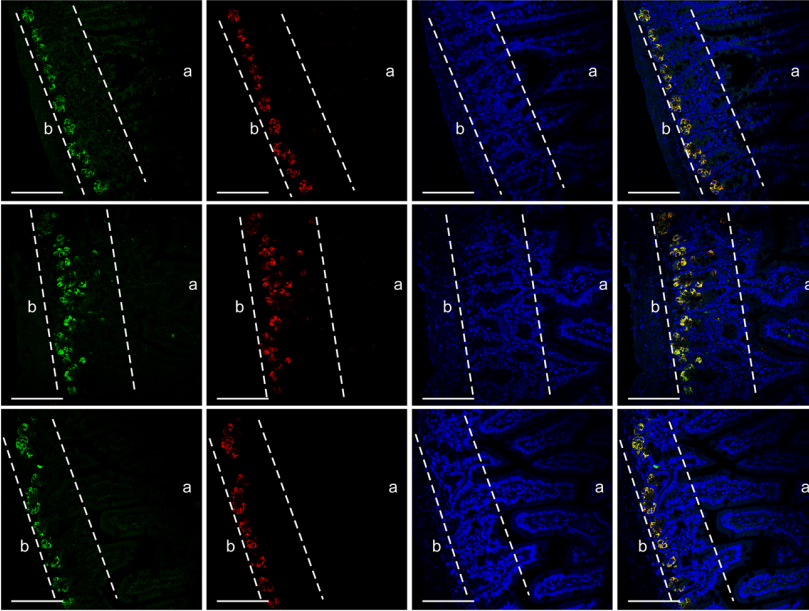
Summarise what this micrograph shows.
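Small intestinal mucosa with crypts along the basal side and villi extending toward the apical side, nuclei shown in blue. Paneth cells appear as red, granule-filled cells clustered at the crypt bases, overlapping with green label so they look yellow in the merged images.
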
